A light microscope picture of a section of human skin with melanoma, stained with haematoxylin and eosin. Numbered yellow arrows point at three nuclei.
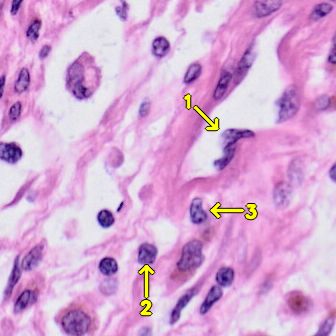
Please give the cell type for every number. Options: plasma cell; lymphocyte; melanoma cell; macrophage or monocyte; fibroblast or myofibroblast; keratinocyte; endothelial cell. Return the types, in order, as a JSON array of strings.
["endothelial cell", "lymphocyte", "lymphocyte"]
